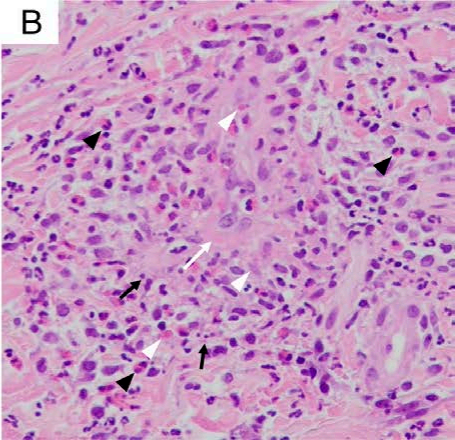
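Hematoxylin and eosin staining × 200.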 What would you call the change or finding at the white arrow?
Fibrinoid necrosis.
